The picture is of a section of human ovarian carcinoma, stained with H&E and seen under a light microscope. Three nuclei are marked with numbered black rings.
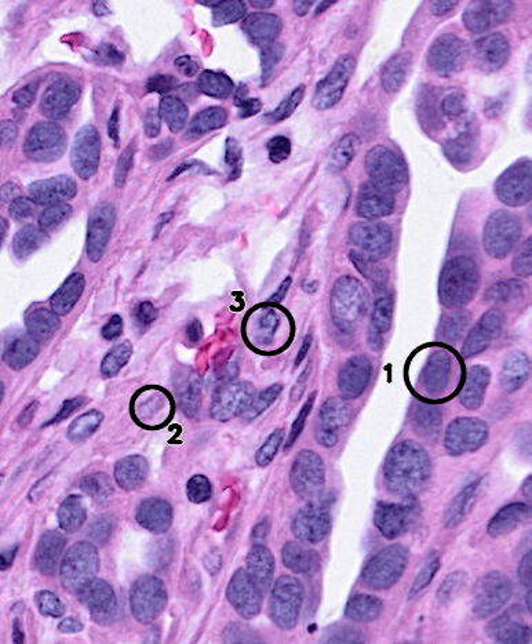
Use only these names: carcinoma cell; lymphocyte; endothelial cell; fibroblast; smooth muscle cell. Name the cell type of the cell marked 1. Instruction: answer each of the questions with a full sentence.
The cell tagged with 1 in this tissue section is a carcinoma cell.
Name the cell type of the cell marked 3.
Among the marked nuclei, number 3 belongs to a fibroblast.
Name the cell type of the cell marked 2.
Cell 2 of the marked set is a fibroblast.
